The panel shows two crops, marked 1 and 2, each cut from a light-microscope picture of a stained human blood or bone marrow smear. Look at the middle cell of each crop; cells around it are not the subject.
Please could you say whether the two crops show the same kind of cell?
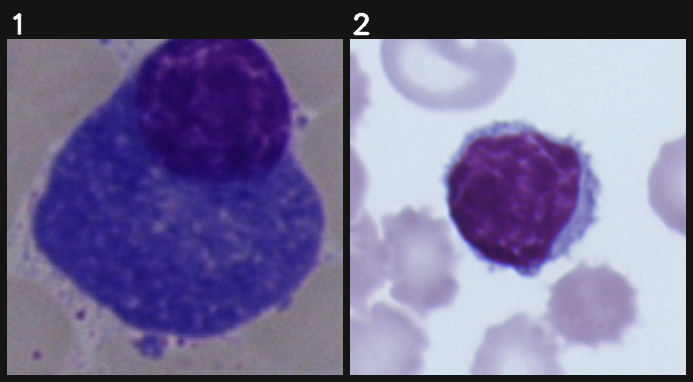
no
